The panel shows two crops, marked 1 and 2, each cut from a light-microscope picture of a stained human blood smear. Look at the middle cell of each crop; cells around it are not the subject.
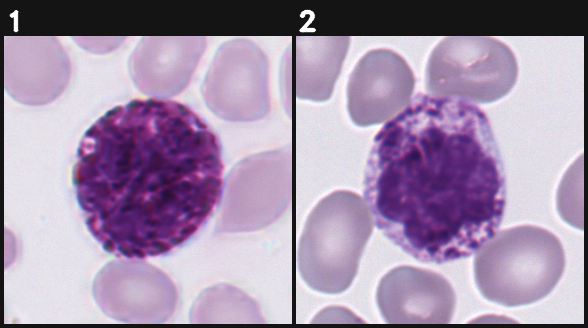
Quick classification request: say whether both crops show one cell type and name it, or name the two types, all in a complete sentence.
Yes, the cells centred in the two crops are both basophils.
